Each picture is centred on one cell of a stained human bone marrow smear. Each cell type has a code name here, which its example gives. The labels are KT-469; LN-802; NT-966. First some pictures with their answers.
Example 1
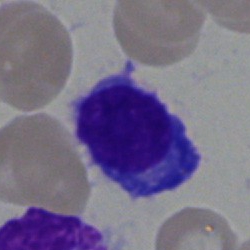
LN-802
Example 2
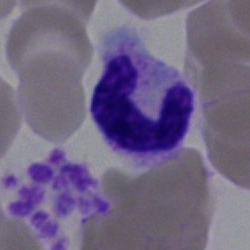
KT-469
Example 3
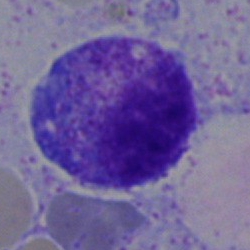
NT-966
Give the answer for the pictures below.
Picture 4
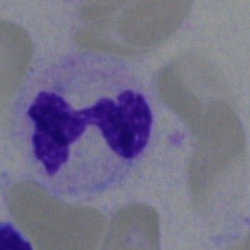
KT-469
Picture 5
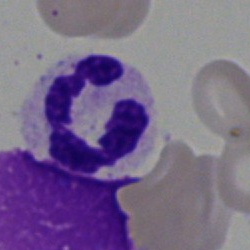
KT-469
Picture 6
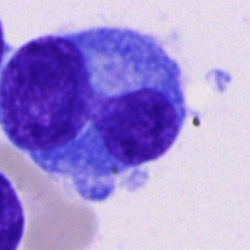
LN-802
